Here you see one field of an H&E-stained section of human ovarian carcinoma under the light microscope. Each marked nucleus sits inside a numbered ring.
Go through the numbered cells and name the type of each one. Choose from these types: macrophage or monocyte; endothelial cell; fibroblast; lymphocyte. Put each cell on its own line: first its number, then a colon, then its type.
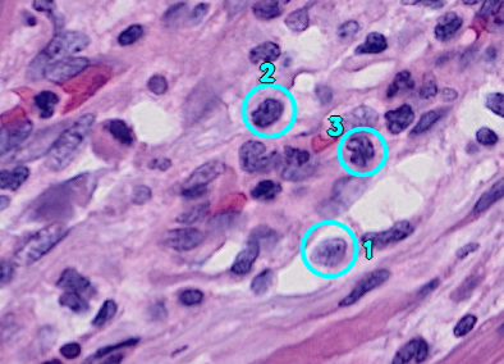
1: macrophage or monocyte
2: lymphocyte
3: lymphocyte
